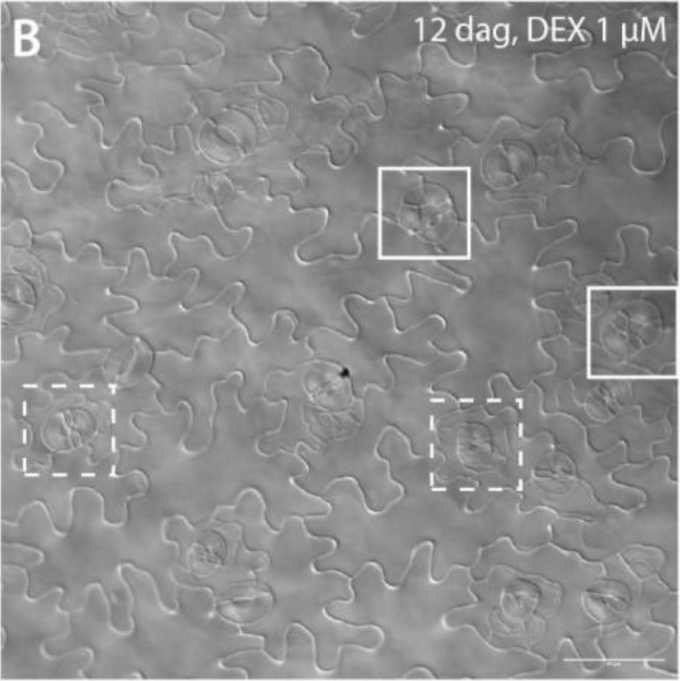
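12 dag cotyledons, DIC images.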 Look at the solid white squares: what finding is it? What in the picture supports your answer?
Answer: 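Each solid-boxed stomatal complex shows an extra wall running across it. The boxed complexes look unlike the regular paired guard cells elsewhere. So: Abnormal transverse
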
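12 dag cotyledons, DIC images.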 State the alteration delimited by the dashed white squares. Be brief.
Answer: longitudinal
